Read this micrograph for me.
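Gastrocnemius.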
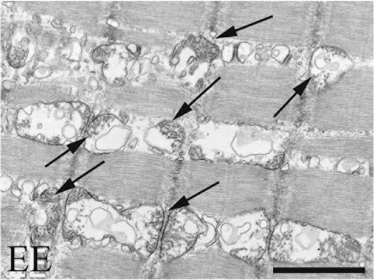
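This electron micrograph shows a longitudinal section of skeletal muscle fibers with autophagic changes. Myofibrils run horizontally, crossed at regular intervals by dark vertical Z-lines that mark the sarcomeres. The spaces between the myofibrils are widened into large pale vacuolar areas. These areas hold membrane-bound bodies with membranous whorls, granular debris and mitochondria with disordered cristae. Arrows point to several such membranous structures along the intermyofibrillar rows.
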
